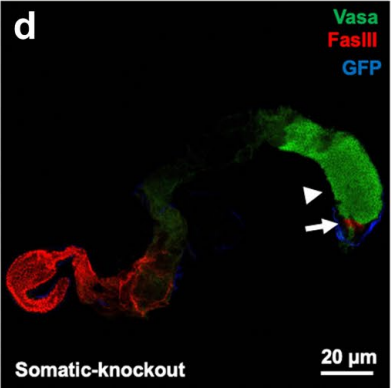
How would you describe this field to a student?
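This is a short, thin testis tube with green germ cells packed only into its closed tip. A small red cluster sits right at the end of that tip, while the rest of the tube holds few green cells.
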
